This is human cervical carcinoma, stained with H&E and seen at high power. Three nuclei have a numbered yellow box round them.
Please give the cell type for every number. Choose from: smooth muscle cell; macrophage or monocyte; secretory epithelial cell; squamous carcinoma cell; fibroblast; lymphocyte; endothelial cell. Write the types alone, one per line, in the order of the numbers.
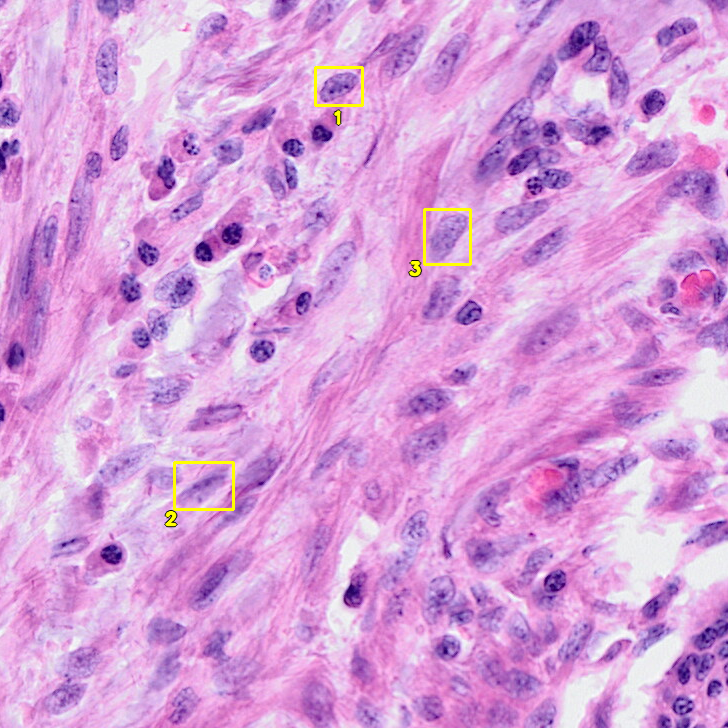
macrophage or monocyte
fibroblast
fibroblast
